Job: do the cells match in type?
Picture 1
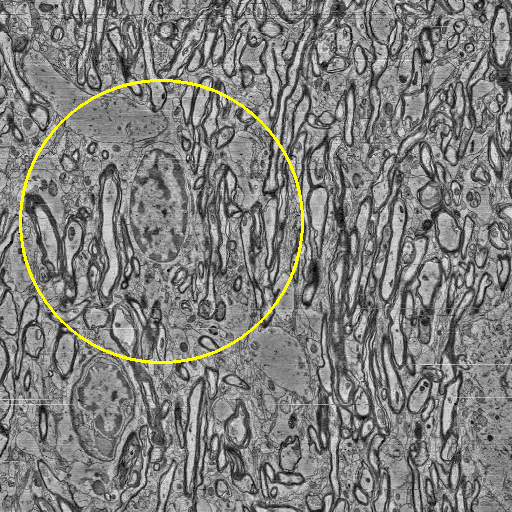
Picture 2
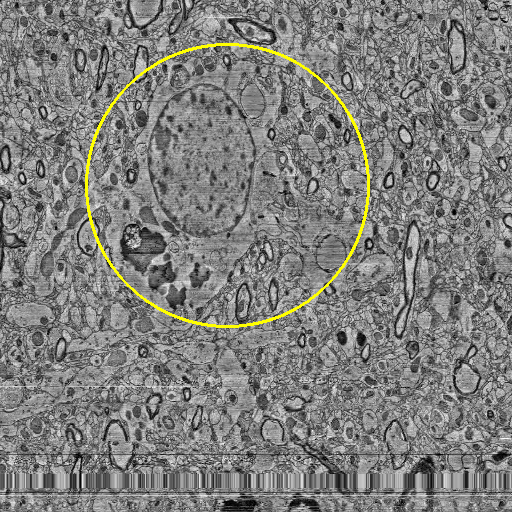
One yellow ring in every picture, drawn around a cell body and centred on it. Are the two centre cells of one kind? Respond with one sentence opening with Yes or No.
No, the ringed cells in the two pictures are of two separate kinds.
